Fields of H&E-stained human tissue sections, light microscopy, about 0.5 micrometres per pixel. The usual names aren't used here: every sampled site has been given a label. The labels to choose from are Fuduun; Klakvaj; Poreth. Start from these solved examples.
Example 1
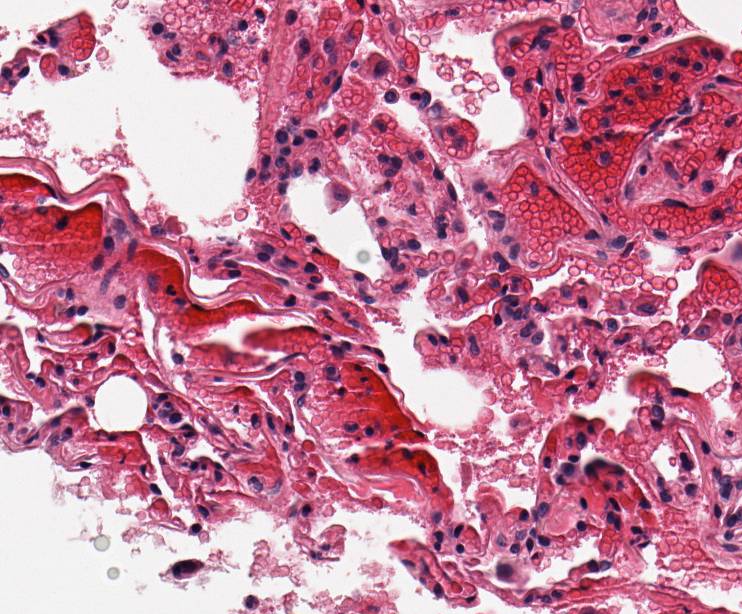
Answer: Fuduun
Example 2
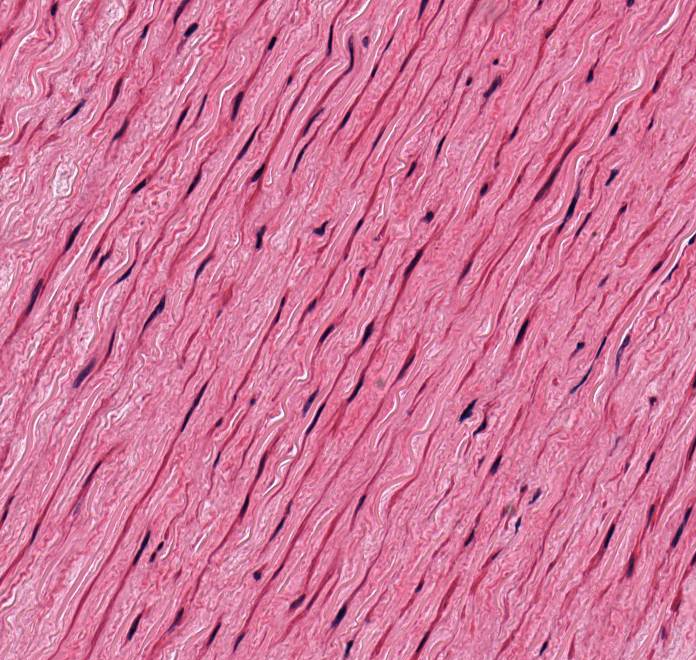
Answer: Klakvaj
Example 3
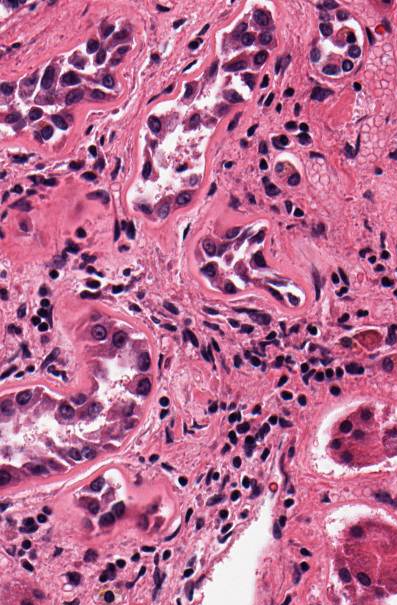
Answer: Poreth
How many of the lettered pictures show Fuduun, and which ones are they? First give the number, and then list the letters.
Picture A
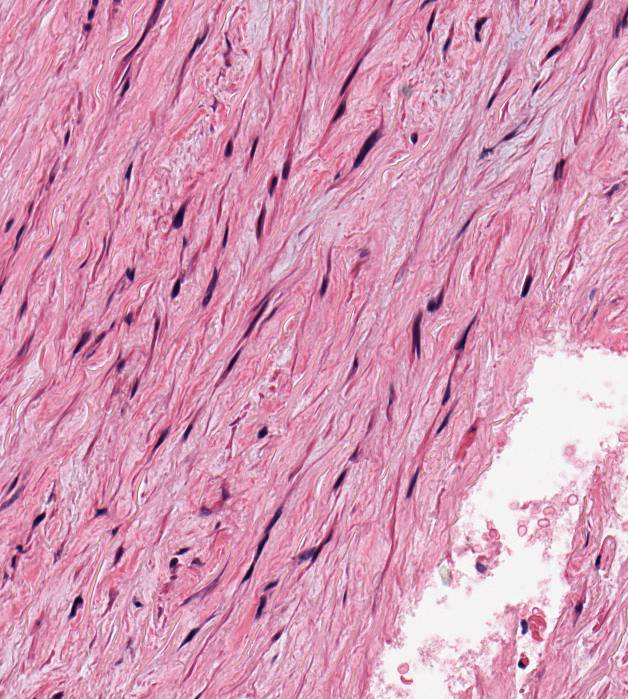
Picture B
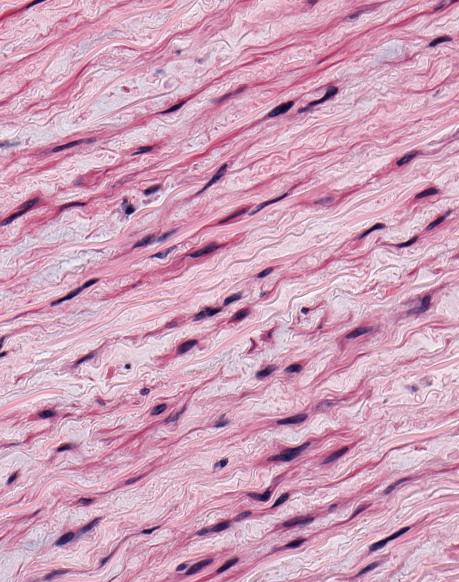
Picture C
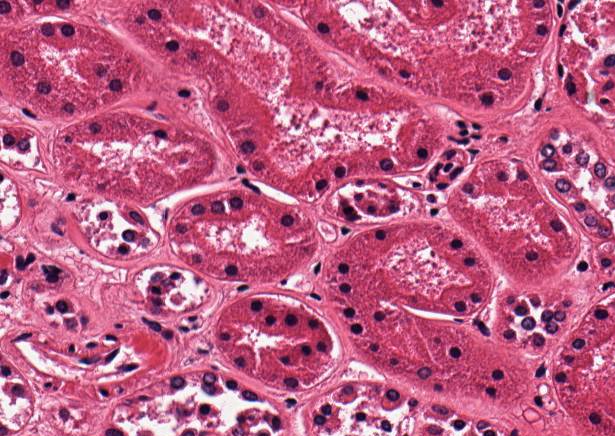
0, none of them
